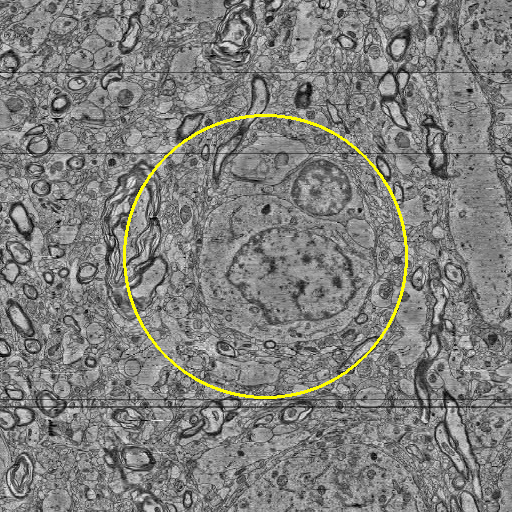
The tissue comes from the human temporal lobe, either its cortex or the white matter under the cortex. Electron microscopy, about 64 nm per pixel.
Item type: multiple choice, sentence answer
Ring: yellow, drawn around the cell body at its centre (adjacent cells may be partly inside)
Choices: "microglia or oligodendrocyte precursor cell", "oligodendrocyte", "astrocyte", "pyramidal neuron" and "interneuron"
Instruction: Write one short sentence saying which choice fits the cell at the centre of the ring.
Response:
This ring is drawn around an interneuron.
